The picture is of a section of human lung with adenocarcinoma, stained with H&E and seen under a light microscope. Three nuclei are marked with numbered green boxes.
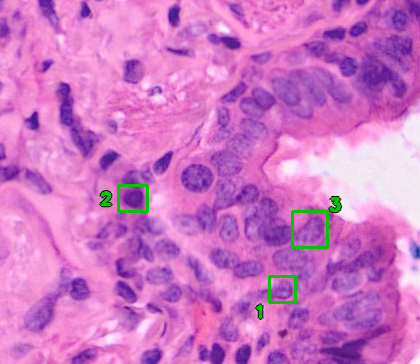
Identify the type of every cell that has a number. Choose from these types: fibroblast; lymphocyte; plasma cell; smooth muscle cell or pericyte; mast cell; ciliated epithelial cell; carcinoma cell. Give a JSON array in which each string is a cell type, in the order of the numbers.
["ciliated epithelial cell", "plasma cell", "ciliated epithelial cell"]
